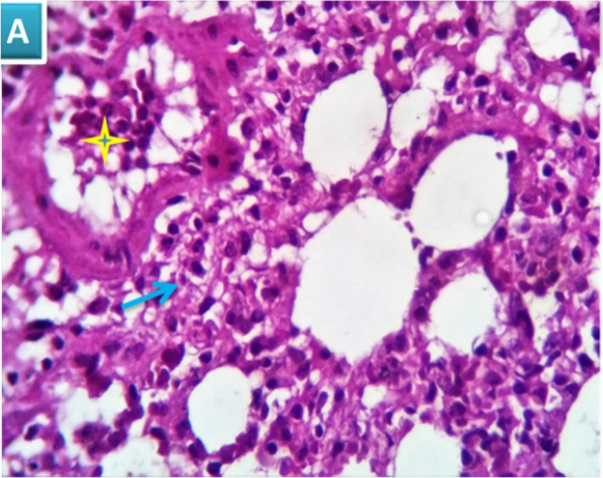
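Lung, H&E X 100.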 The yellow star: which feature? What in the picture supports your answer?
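Blood vessels. The star lies in a lumen bounded by a thick pink layered wall. The lumen holds scattered cells with dark nuclei.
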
